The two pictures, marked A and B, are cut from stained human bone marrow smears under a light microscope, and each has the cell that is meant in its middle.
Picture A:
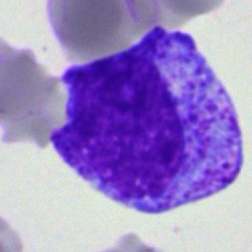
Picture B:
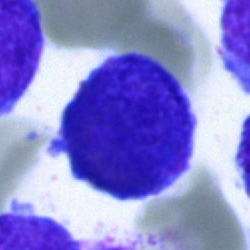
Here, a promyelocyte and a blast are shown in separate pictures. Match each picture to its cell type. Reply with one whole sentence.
It is picture A that shows a promyelocyte, and picture B that shows a blast.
